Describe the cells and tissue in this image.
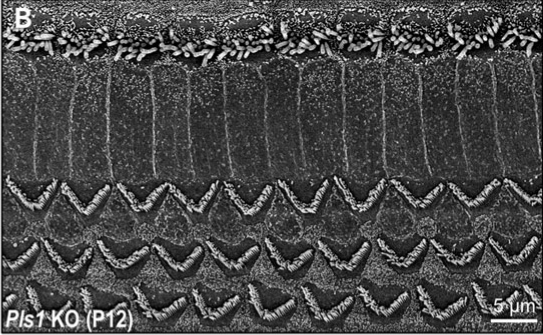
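The apical surface of the organ of Corti is seen from above, with auditory hair cells arranged in regular rows. At the top, a single row of inner hair cells carries hair bundles of stereocilia aligned in a nearly straight line. Below it lies a band of flat, elongated supporting cell surfaces separated by fine borders running across the band. Further down, three rows of outer hair cells each carry a V- or W-shaped hair bundle, all oriented in the same direction. The rows are orderly and no hair bundles appear missing.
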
